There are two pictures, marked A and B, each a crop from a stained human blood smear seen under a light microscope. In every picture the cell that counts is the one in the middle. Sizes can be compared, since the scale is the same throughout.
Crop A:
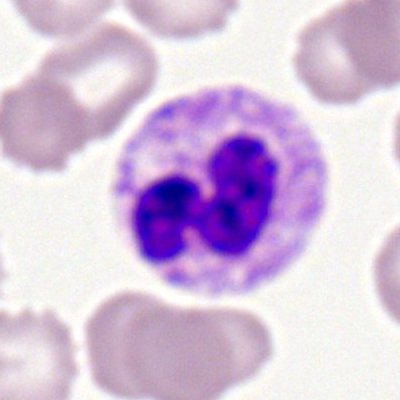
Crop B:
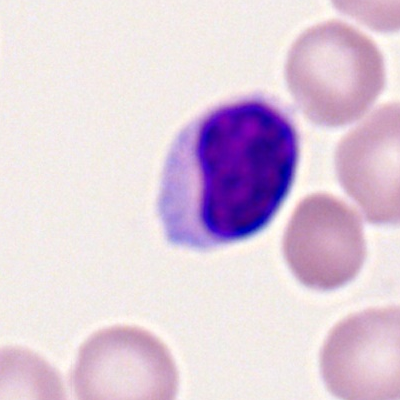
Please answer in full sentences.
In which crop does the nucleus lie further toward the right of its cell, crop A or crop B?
Seen within its cell, the nucleus in crop B lies further toward the right.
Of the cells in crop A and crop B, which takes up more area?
Larger is the cell in crop A, at roughly 2 times the area of the other.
